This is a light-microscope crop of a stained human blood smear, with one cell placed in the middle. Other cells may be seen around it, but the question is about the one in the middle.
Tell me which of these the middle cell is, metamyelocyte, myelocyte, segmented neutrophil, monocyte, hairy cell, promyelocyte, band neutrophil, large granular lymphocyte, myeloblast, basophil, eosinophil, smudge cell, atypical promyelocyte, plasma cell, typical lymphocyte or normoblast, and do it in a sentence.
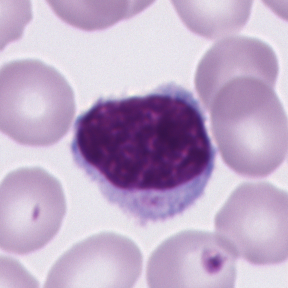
In the middle of this smear crop is a typical lymphocyte.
